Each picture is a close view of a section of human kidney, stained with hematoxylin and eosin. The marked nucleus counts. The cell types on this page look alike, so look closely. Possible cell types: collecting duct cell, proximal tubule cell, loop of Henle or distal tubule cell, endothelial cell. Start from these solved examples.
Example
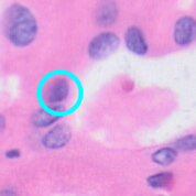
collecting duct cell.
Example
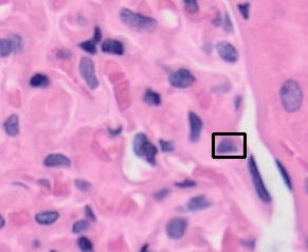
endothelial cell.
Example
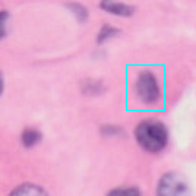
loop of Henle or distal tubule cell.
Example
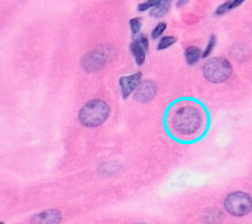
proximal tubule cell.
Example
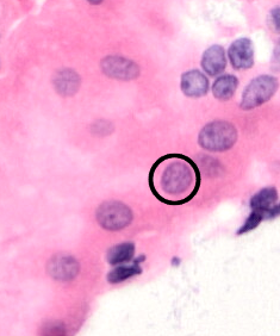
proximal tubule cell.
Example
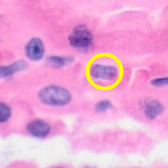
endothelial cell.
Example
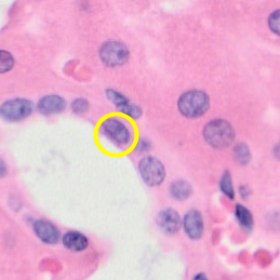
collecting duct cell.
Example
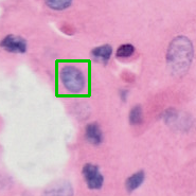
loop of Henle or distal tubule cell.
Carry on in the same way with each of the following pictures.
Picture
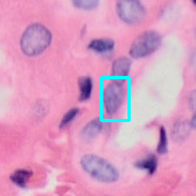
collecting duct cell.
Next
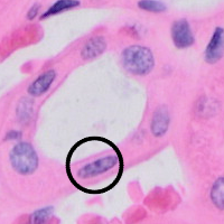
collecting duct cell.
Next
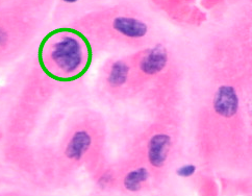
proximal tubule cell.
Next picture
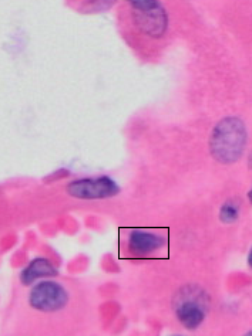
endothelial cell.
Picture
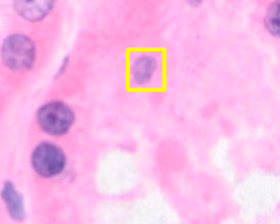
proximal tubule cell.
